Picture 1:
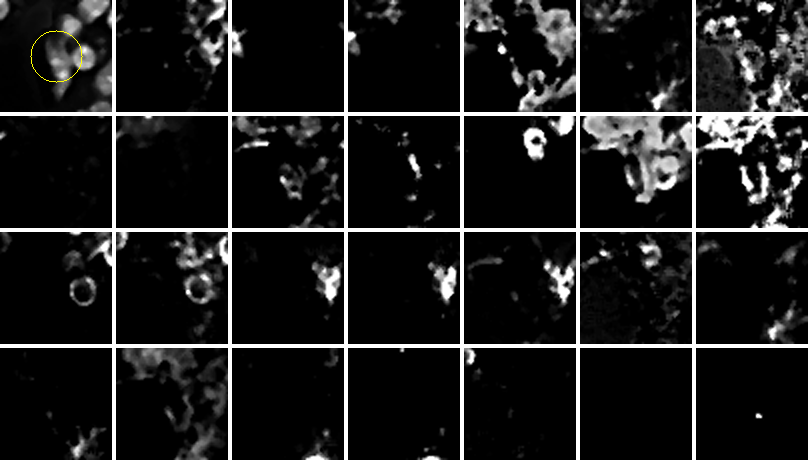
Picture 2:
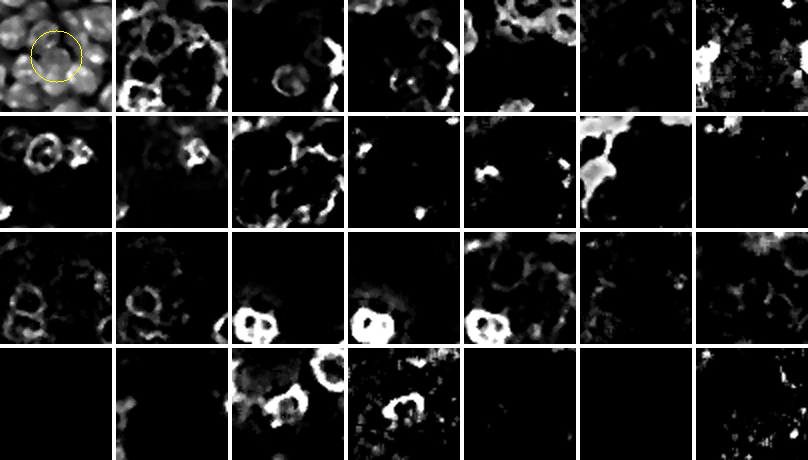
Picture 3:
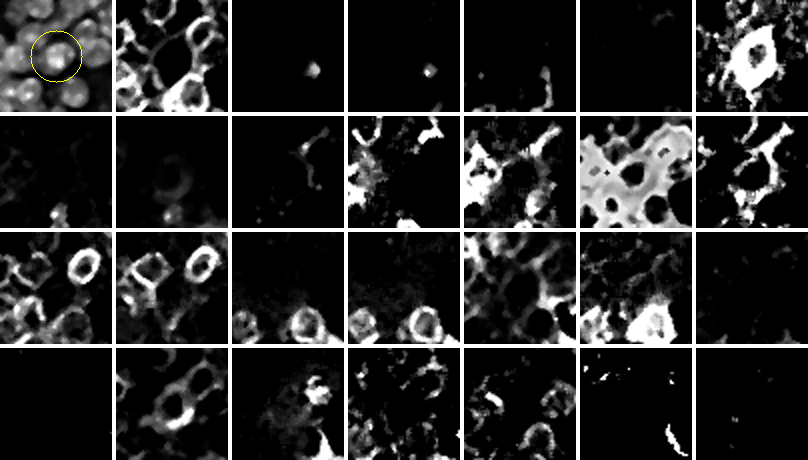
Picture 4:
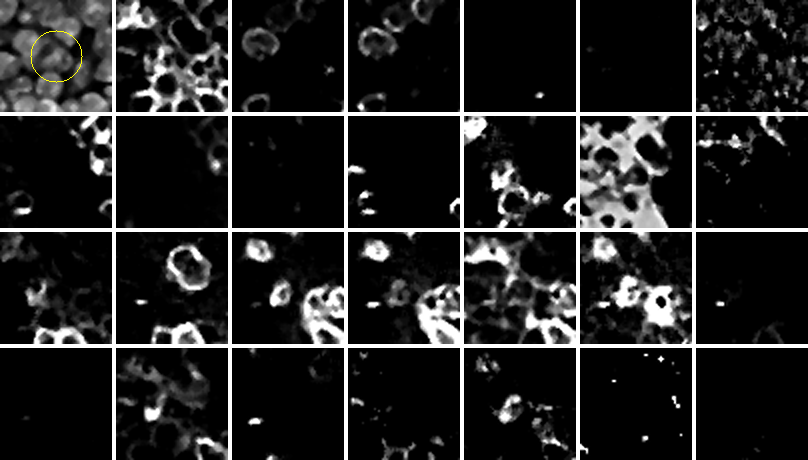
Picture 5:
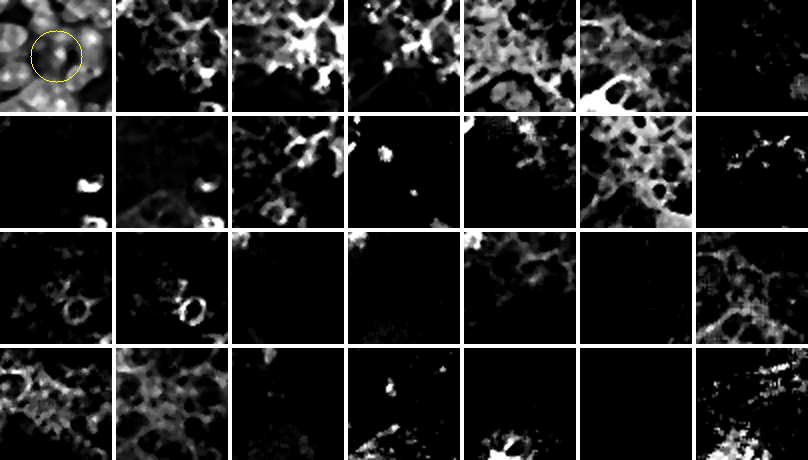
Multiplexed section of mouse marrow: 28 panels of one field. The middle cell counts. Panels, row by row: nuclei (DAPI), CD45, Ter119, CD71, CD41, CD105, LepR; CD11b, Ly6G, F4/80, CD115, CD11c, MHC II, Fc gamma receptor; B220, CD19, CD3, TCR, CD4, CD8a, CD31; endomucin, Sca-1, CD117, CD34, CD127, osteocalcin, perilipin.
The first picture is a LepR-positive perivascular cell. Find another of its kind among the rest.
Picture 3.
